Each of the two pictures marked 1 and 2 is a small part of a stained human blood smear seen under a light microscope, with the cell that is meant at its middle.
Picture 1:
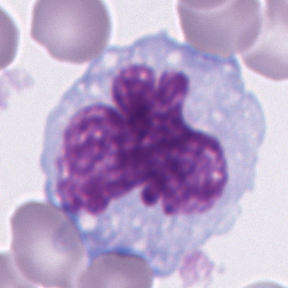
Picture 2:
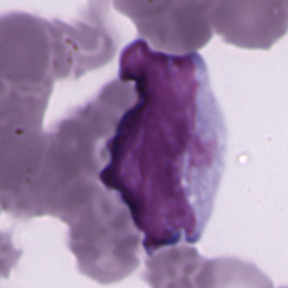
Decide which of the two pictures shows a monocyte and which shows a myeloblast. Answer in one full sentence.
Picture 1 shows a monocyte and picture 2 shows a myeloblast.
